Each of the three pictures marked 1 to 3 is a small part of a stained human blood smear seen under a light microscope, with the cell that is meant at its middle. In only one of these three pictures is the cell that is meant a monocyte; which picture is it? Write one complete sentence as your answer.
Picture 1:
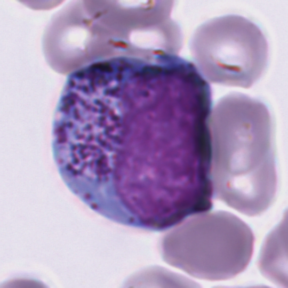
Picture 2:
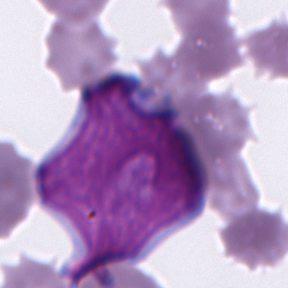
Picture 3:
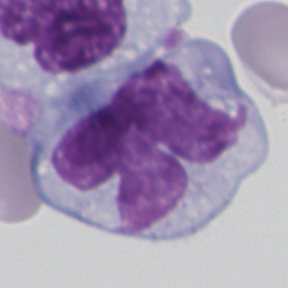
Picture 3 shows the monocyte.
